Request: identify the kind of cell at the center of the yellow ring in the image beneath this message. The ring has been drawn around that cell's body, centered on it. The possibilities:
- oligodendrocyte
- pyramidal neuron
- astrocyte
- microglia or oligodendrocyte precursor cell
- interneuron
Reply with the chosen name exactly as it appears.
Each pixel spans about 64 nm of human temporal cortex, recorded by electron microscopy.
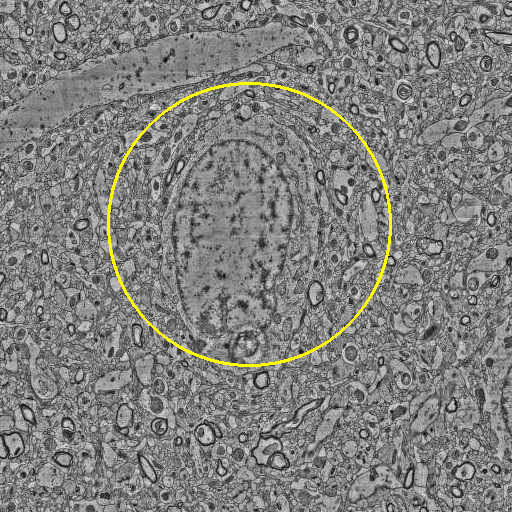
interneuron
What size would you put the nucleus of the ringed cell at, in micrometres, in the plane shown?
Clearly longer than it is wide in this plane, the nucleus measures roughly 13 by 8 micrometres.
